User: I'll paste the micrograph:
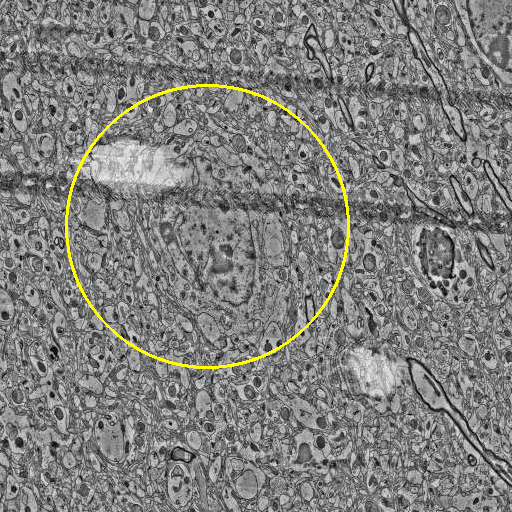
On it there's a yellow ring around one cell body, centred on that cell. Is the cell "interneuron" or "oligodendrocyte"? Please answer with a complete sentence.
The cell ringed in yellow is an interneuron.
